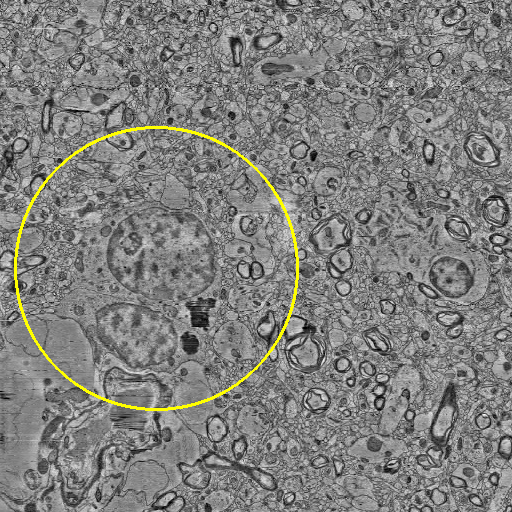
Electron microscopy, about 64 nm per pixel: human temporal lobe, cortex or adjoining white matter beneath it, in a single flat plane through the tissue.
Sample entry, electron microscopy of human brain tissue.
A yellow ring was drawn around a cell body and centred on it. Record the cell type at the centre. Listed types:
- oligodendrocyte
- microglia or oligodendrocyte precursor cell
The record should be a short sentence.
The cell at the ring's centre is an oligodendrocyte.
